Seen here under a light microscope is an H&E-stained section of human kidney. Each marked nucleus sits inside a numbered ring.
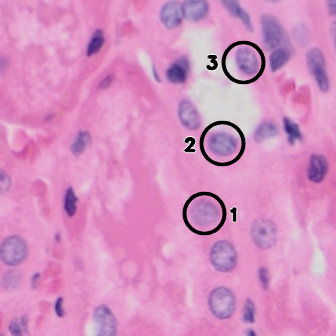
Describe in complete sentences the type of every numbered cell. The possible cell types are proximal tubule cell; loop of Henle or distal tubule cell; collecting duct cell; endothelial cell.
Cell 1 is a proximal tubule cell. Cells 2 and 3 are loop of Henle or distal tubule cells.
